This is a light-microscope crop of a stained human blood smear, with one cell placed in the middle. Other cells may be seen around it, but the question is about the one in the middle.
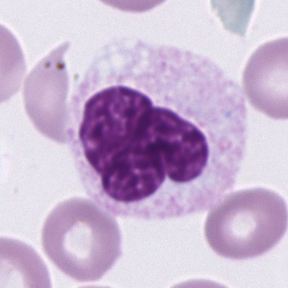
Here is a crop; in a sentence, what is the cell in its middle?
Answering briefly, the cell in the middle is a segmented neutrophil.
